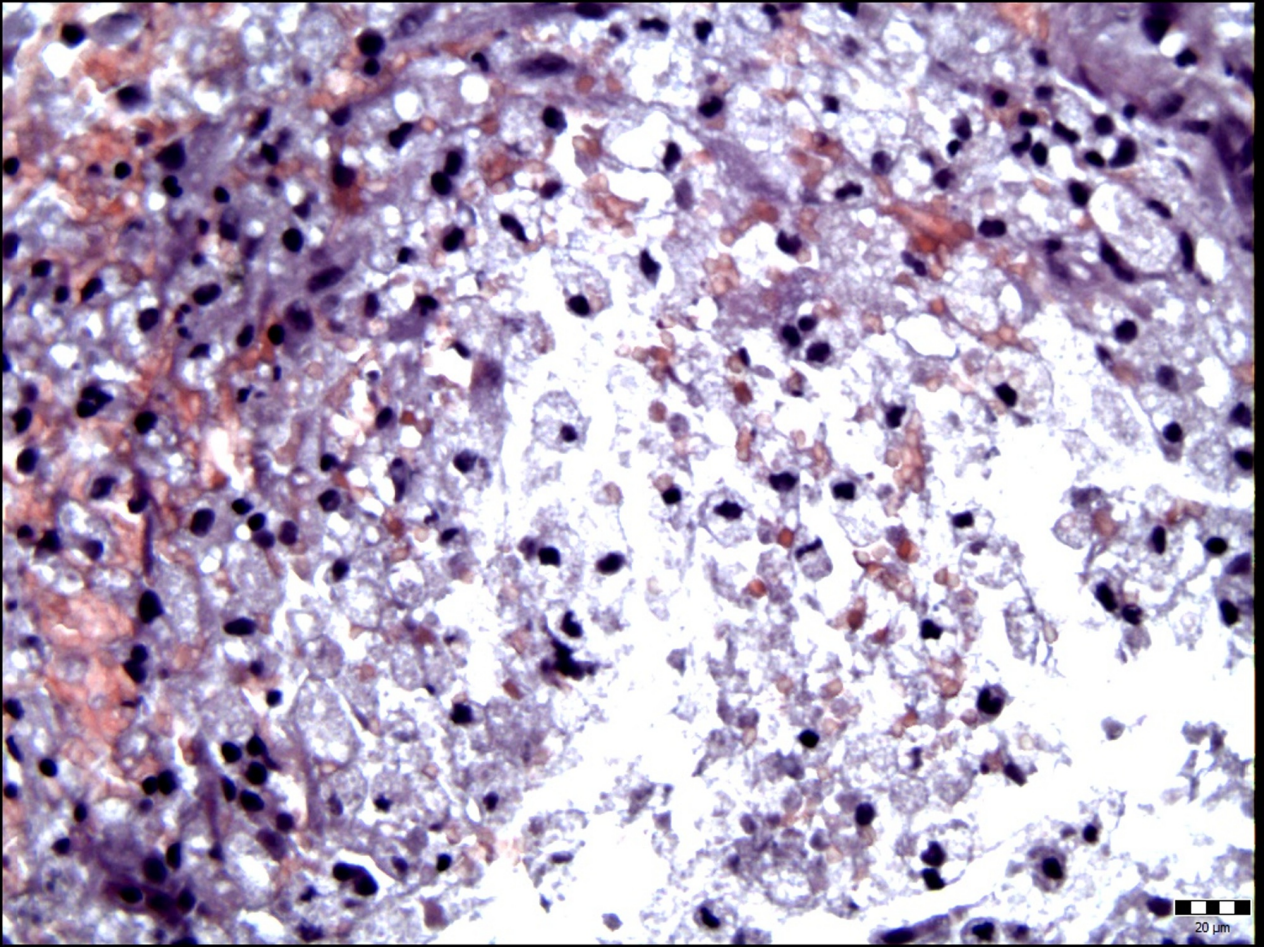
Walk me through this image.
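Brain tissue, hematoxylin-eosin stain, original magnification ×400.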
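The tissue is densely filled with inflammatory cells, most of them large foamy macrophages. These macrophages have abundant pale cytoplasm full of small clear vacuoles and a single small, dark, round nucleus. Small cells with dense, dark, round nuclei and scant cytoplasm are scattered among them and are consistent with lymphocytes. Small orange-pink round bodies lie between the cells, and the centre of the field is loose with clear spaces.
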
